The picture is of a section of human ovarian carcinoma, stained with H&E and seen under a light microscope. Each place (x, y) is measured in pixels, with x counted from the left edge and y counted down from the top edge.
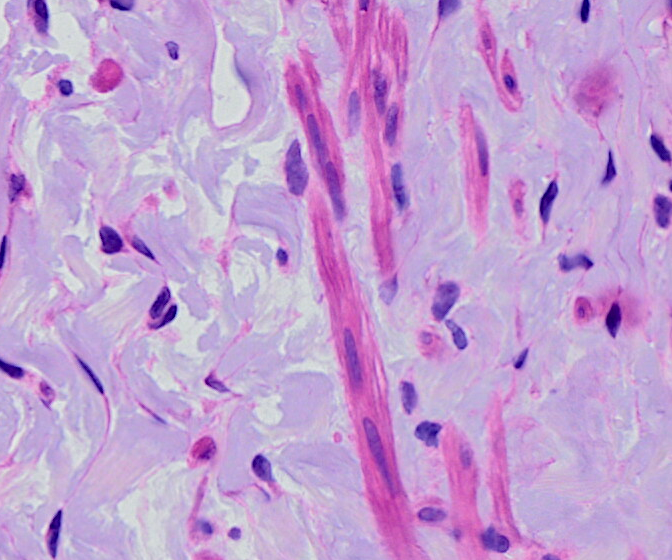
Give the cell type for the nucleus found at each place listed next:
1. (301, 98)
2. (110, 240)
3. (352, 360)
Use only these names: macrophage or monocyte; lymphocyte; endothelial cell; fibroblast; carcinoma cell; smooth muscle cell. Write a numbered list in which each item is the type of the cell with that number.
1. smooth muscle cell
2. fibroblast
3. smooth muscle cell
